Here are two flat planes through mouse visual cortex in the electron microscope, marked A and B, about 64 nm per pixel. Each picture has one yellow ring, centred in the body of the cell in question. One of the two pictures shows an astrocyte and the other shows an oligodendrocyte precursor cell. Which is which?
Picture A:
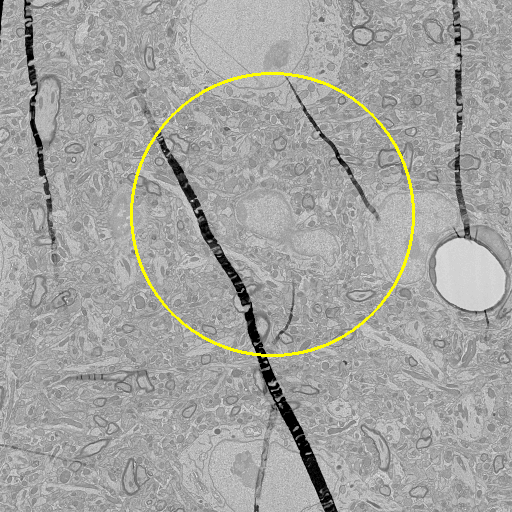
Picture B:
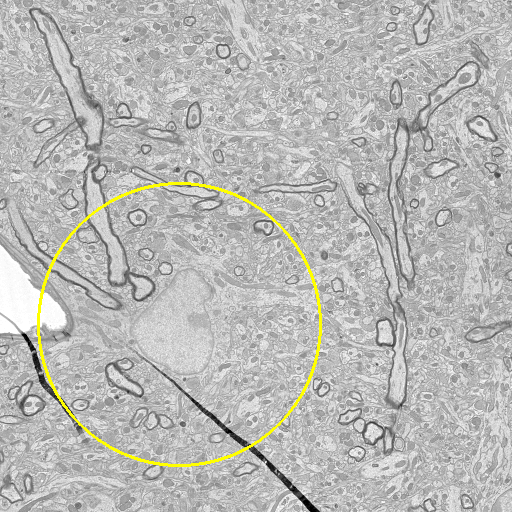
Picture A is of an oligodendrocyte precursor cell, and picture B is of an astrocyte.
